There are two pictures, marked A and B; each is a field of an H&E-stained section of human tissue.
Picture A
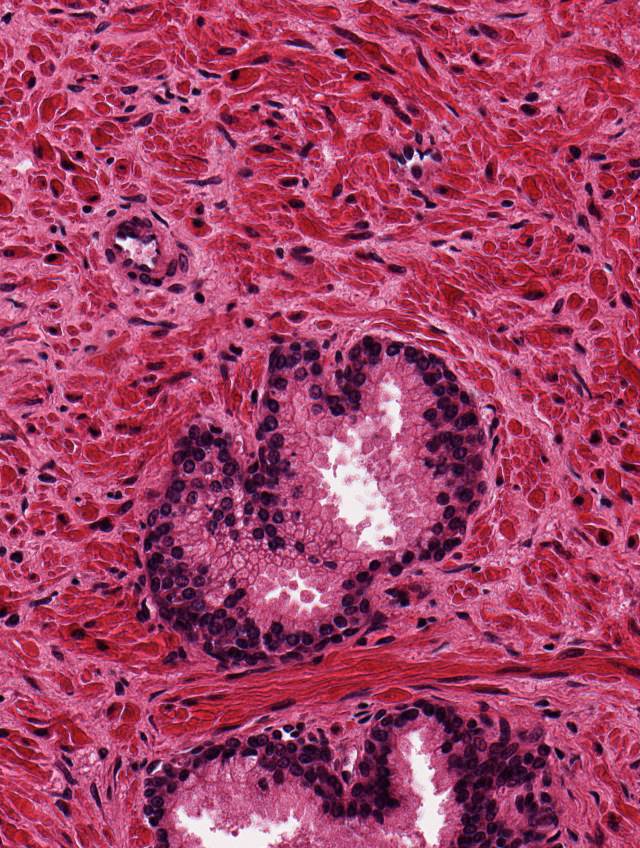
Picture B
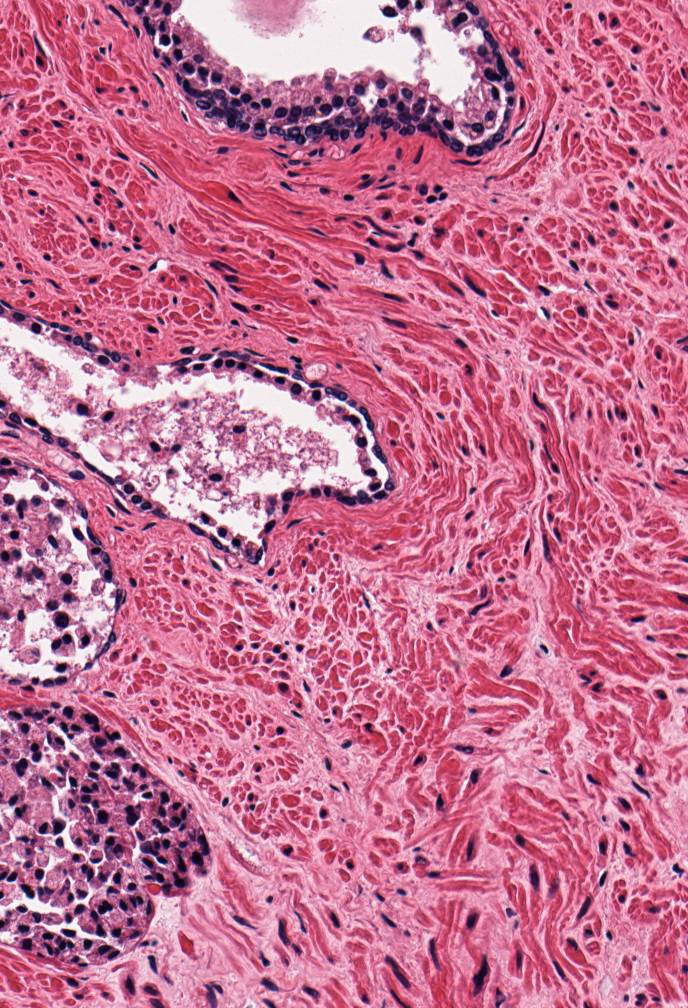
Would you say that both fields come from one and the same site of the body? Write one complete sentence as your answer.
Yes; both pictures come from the prostate.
